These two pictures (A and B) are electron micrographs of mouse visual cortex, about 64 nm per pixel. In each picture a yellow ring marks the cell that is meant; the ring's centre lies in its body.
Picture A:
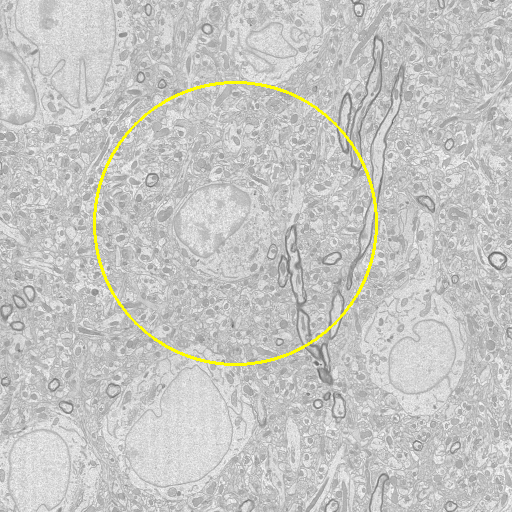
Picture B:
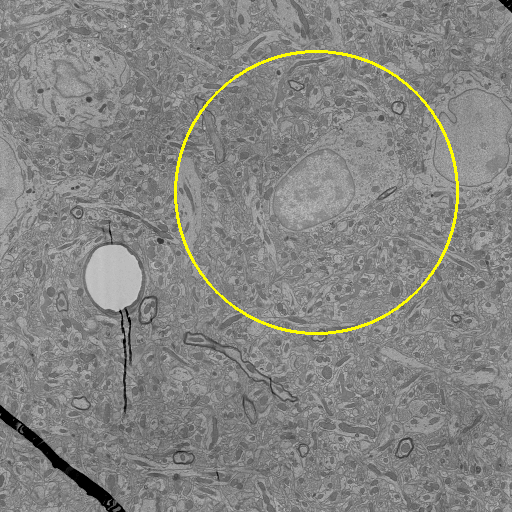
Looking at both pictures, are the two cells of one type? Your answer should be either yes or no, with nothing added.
yes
